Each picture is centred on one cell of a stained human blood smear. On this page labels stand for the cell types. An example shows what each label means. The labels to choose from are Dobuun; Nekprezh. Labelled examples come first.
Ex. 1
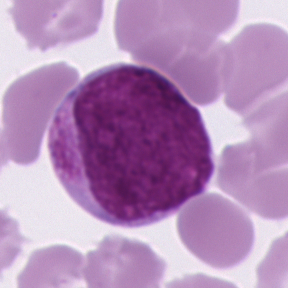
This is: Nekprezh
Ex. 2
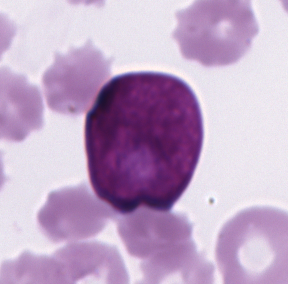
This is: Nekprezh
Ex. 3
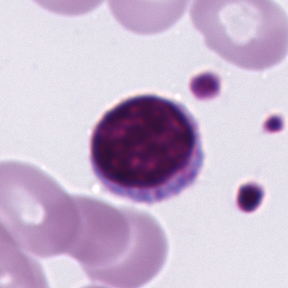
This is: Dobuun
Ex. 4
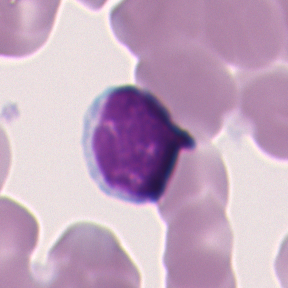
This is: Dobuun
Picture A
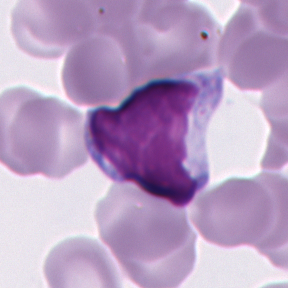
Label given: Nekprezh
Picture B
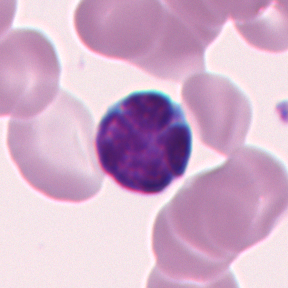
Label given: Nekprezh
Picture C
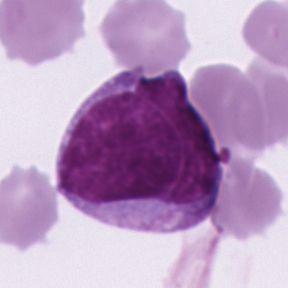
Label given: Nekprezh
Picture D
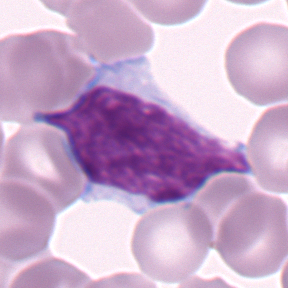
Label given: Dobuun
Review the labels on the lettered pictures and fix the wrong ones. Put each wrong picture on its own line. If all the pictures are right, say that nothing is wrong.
A is labelled Nekprezh; correct label: Dobuun
B is labelled Nekprezh; correct label: Dobuun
